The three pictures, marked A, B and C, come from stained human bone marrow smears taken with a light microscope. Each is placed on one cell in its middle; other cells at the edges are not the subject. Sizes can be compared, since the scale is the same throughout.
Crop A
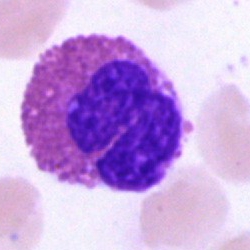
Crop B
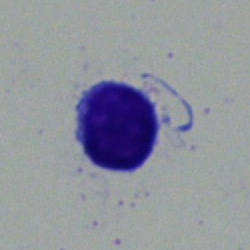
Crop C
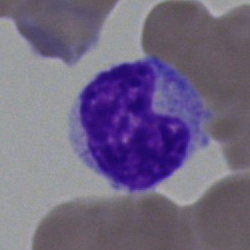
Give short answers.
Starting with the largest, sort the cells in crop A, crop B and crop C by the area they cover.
A, C, B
